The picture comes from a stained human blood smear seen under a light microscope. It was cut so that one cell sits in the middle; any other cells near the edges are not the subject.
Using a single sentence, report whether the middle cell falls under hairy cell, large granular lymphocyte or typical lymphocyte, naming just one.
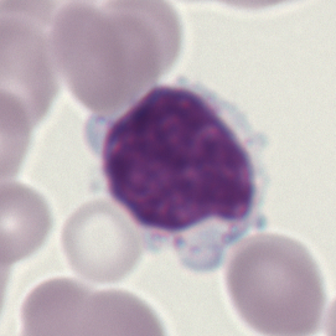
Located at the centre of the crop is a large granular lymphocyte.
